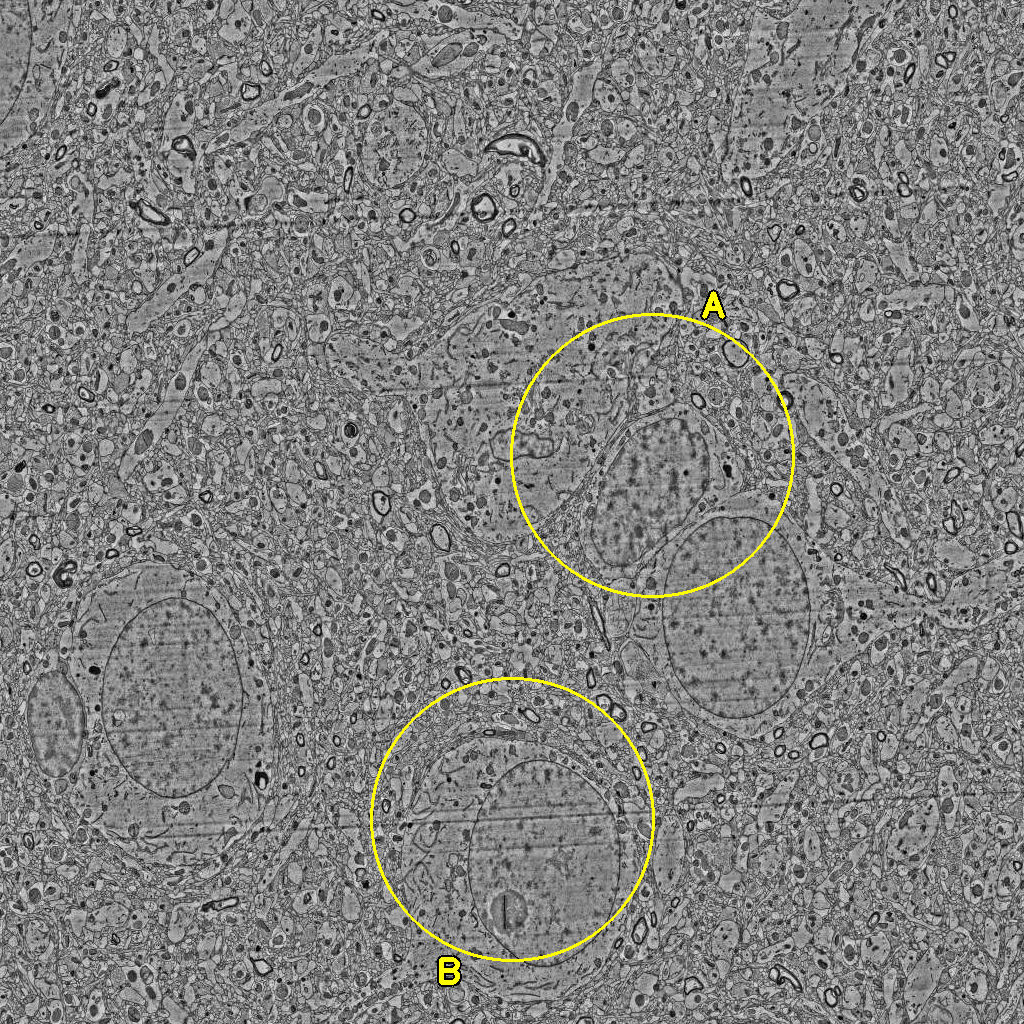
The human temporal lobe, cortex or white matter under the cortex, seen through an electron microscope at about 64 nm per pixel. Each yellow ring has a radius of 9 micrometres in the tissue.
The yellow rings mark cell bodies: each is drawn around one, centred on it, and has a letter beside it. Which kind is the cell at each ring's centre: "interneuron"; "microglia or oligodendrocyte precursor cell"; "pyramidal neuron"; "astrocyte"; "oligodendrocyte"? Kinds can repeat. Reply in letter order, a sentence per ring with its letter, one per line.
At the centre of ring A lies an interneuron.
At the centre of ring B lies a pyramidal neuron.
